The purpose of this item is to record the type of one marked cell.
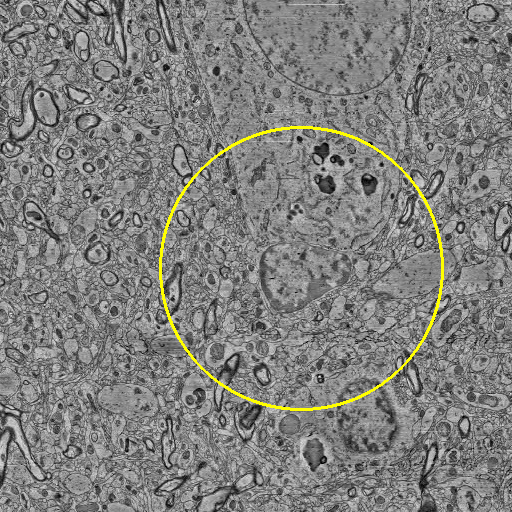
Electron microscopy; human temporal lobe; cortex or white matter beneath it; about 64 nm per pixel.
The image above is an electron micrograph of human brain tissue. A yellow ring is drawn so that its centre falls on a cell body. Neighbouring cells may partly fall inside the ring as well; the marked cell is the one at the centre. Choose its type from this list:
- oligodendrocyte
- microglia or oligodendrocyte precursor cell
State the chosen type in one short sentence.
What the ring marks here is a microglial cell or oligodendrocyte precursor cell.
